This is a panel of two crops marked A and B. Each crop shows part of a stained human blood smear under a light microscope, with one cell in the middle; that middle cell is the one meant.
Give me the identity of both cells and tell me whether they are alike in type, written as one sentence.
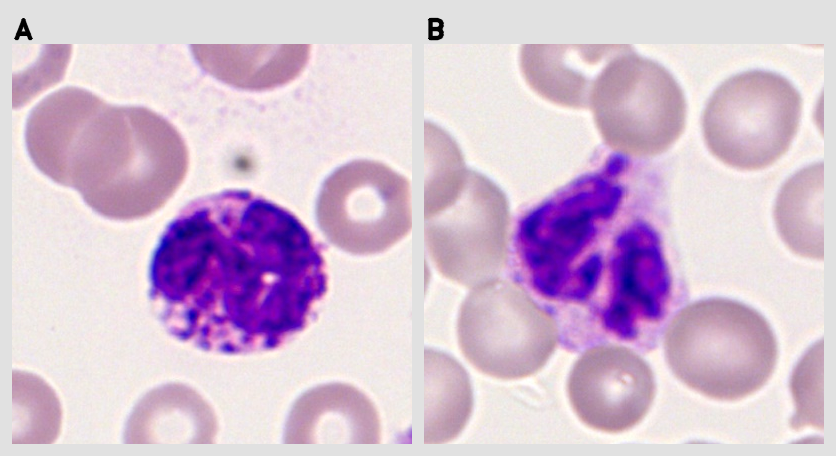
Yes, the two crops share the same answer, basophils.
